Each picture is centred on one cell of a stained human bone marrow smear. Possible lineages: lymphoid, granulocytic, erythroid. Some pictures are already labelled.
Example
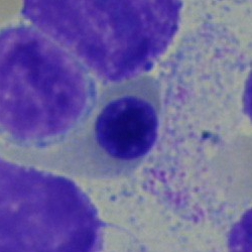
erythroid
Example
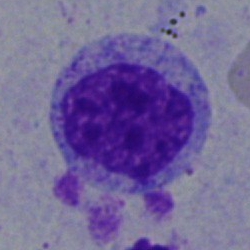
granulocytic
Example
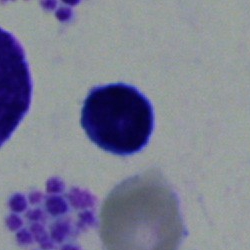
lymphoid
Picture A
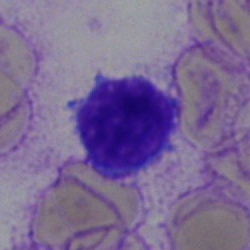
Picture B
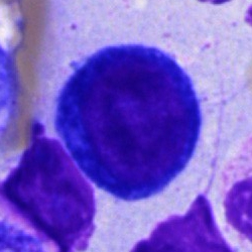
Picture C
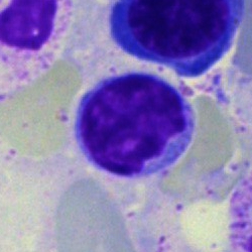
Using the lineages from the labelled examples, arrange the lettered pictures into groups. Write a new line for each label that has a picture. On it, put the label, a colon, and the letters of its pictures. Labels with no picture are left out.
lymphoid: A, C
erythroid: B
